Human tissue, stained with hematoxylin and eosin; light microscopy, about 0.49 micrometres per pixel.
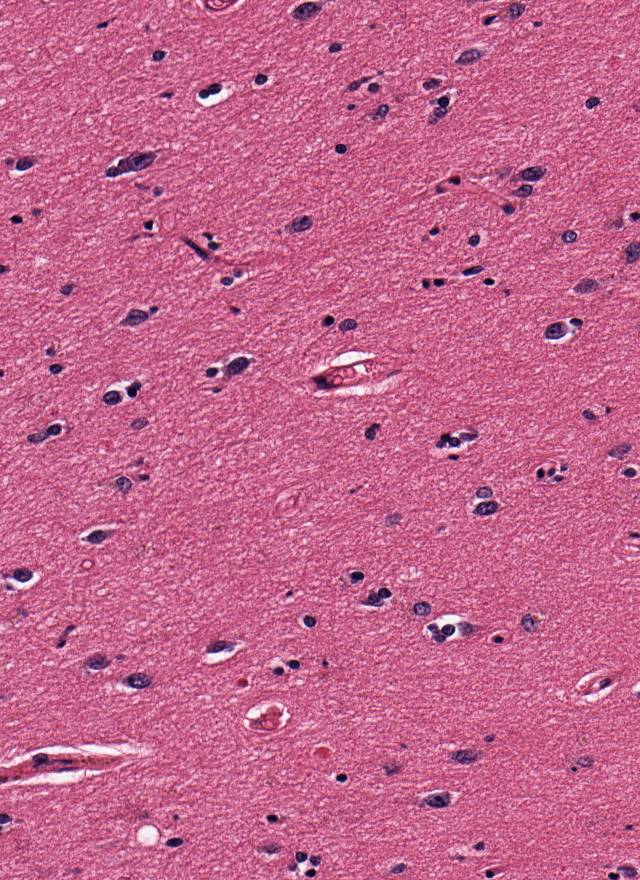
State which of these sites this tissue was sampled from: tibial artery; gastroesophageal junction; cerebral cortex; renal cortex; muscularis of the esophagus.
cerebral cortex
